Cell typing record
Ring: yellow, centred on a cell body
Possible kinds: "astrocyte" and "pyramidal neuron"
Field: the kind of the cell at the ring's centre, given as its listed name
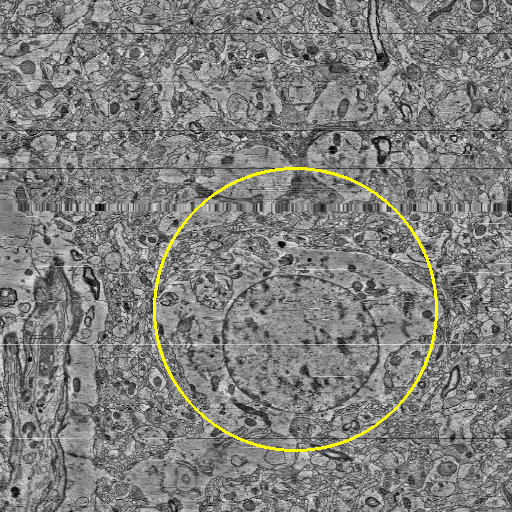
astrocyte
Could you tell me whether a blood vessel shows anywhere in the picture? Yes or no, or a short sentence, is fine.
Yes, one appears.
